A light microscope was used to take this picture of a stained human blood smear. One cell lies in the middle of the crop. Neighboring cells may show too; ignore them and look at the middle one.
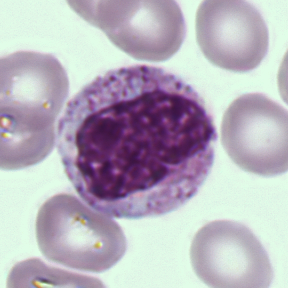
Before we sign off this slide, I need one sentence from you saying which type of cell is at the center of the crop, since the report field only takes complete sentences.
The centered cell in this crop is a metamyelocyte.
